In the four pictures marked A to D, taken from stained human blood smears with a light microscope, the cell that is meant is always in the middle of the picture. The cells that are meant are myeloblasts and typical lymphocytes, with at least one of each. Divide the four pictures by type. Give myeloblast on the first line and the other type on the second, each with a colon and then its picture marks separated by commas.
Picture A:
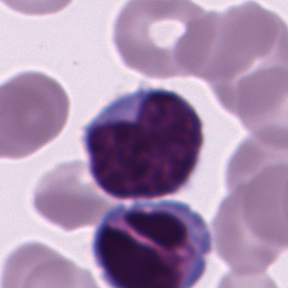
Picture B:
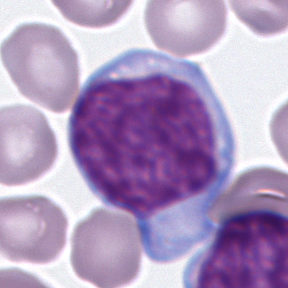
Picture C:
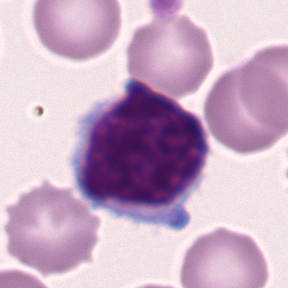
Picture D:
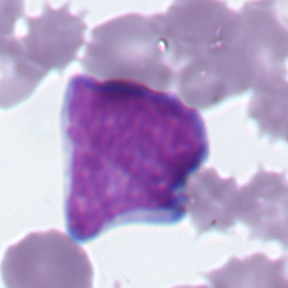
myeloblast: B, D
typical lymphocyte: A, C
